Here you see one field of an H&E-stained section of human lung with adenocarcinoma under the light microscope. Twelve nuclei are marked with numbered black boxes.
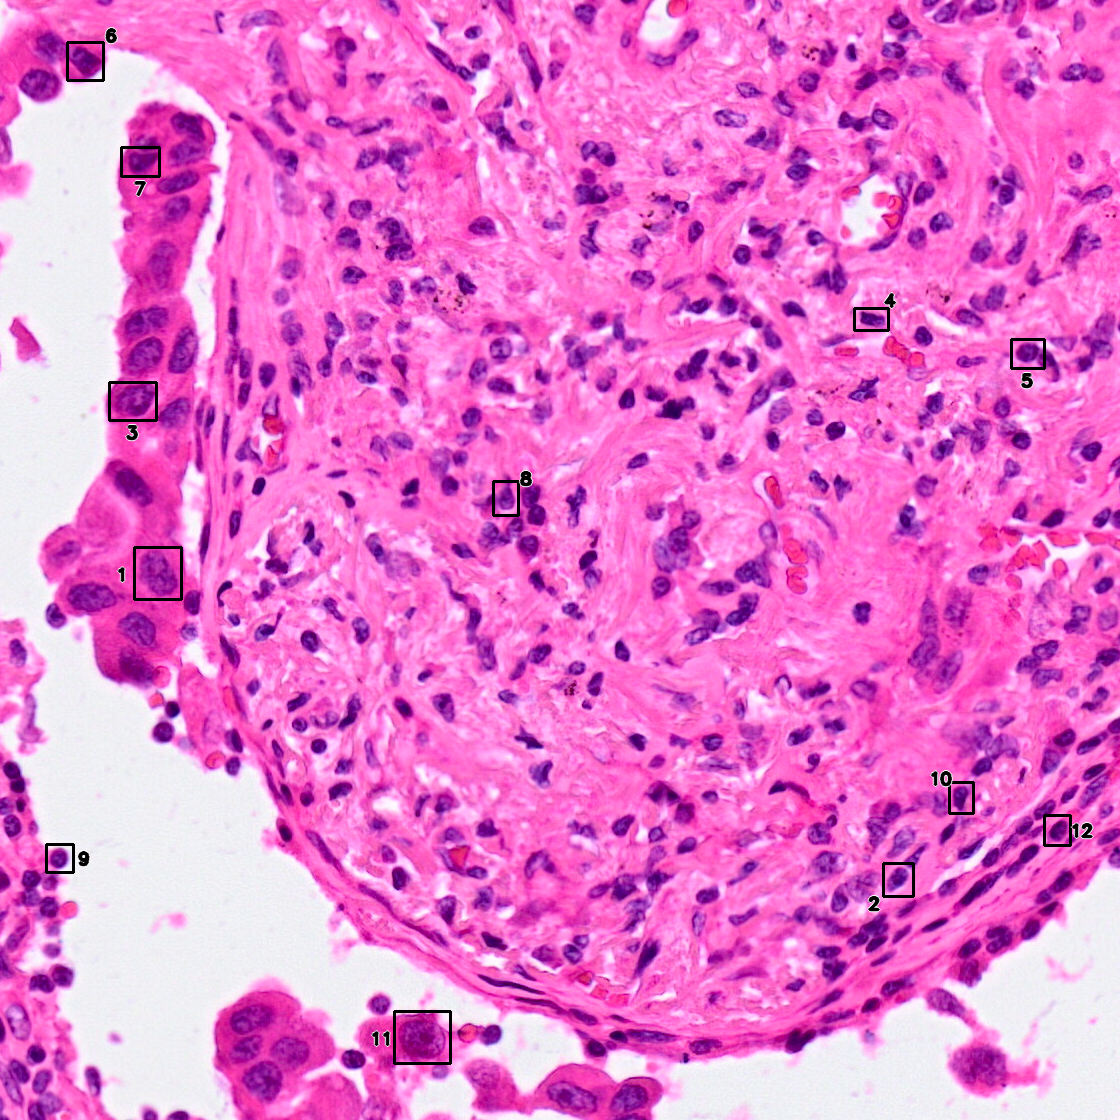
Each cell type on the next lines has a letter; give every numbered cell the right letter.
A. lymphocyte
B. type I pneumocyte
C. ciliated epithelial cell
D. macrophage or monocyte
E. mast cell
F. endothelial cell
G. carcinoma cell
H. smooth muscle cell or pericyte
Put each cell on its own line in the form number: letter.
1: G
2: A
3: G
4: A
5: A
6: G
7: G
8: A
9: A
10: A
11: G
12: A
